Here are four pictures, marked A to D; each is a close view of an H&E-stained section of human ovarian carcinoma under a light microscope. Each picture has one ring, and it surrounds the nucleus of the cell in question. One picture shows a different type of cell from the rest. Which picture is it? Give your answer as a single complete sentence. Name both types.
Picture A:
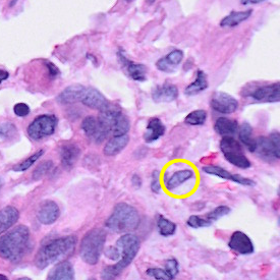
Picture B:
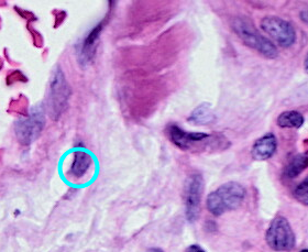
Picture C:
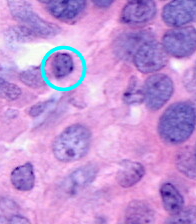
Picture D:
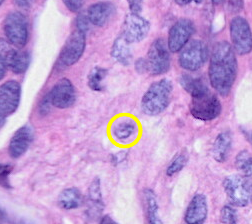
Picture A differs, because its cell is a fibroblast and the rest are “macrophages or monocytes”.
